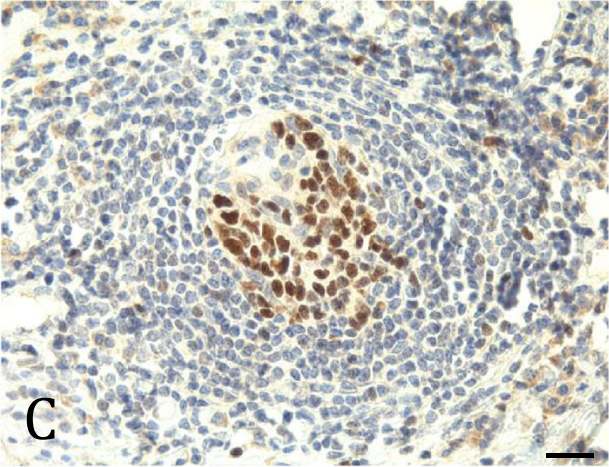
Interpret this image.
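Lymphoid follicle with a germinal centre: a central cluster of larger cells with oval dark brown nuclei, surrounded by a rim of small lymphocytes with blue nuclei. Outer cells are flattened and arranged concentrically around the follicle. Occasional scattered brown-tinged cells lie at the periphery.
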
